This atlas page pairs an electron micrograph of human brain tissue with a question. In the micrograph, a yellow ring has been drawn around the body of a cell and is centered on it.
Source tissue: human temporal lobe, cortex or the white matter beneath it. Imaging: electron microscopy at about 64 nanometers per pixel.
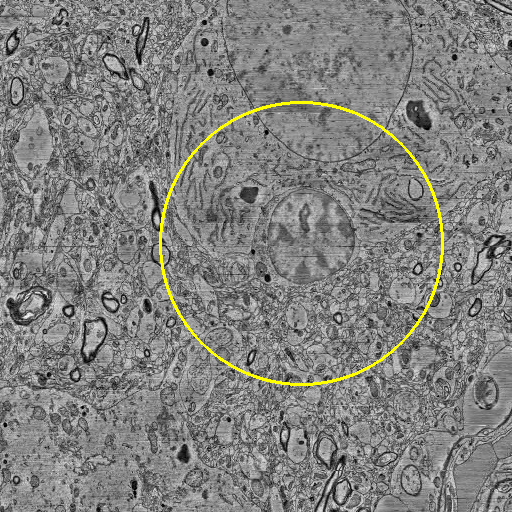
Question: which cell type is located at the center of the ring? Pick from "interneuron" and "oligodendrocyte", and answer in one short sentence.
Located at the center of the ring is an oligodendrocyte.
